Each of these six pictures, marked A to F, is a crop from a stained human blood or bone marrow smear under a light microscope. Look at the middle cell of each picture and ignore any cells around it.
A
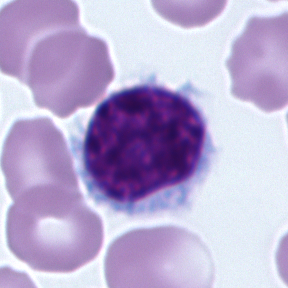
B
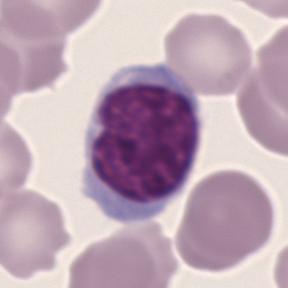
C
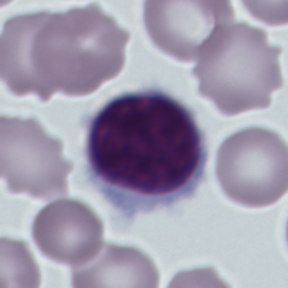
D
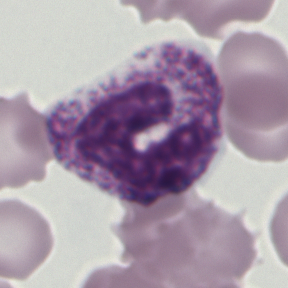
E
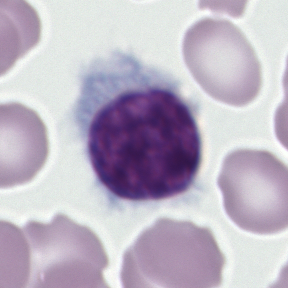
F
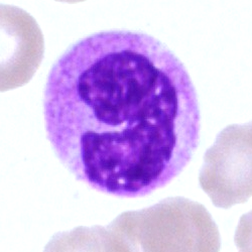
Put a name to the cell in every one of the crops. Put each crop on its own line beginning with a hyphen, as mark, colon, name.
- A: hairy cell
- B: lymphocyte
- C: hairy cell
- D: band neutrophil
- E: hairy cell
- F: band neutrophil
